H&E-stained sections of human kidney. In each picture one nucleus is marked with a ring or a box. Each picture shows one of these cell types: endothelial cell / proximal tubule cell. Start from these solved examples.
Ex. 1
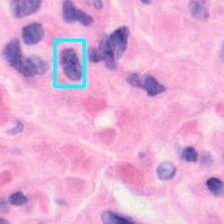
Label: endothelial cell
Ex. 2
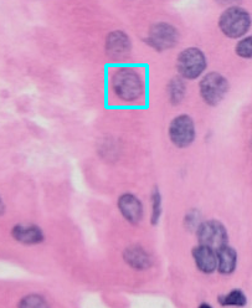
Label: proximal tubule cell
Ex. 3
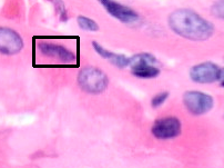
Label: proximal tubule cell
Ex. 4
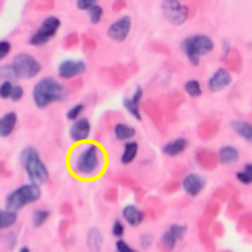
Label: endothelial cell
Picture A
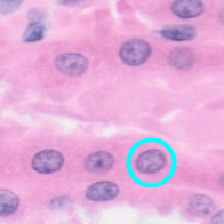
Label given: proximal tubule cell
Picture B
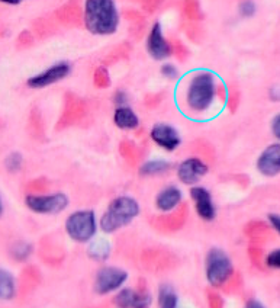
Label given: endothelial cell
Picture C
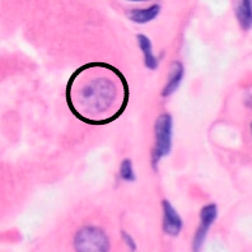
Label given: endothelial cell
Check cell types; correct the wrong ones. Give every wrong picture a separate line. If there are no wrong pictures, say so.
C: change endothelial cell to proximal tubule cell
